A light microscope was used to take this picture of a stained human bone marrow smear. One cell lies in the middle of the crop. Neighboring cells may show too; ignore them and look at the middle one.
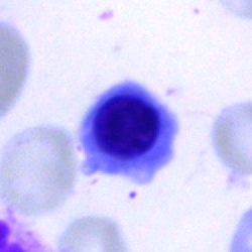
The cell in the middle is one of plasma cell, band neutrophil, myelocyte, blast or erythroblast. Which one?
erythroblast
